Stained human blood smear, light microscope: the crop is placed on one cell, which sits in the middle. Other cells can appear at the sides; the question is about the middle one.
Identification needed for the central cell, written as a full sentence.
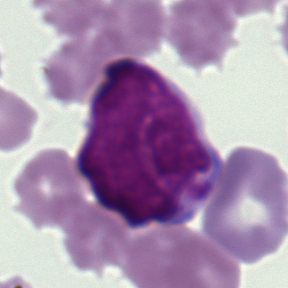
In the middle of this smear crop is a myeloblast.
